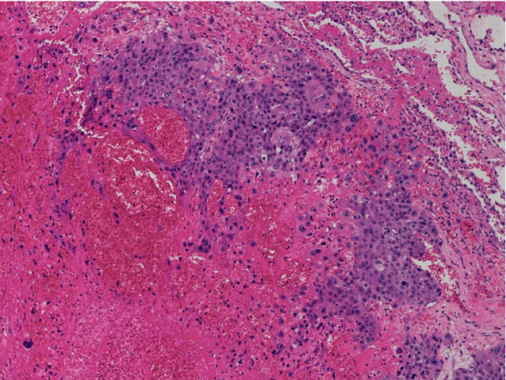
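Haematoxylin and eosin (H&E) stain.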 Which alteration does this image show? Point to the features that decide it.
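Broad areas at the left are filled with densely packed red blood cells. The red areas lie beside purple clusters of tumour cells. So: haemorrhage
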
